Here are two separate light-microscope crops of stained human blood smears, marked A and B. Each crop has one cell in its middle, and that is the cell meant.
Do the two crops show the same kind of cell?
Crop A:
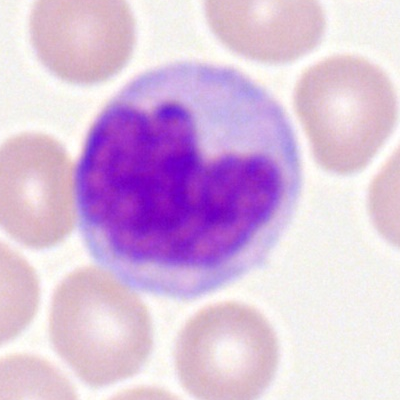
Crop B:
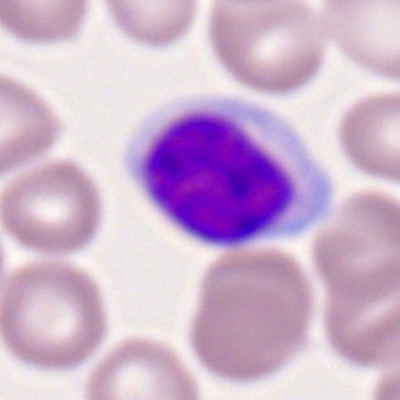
no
